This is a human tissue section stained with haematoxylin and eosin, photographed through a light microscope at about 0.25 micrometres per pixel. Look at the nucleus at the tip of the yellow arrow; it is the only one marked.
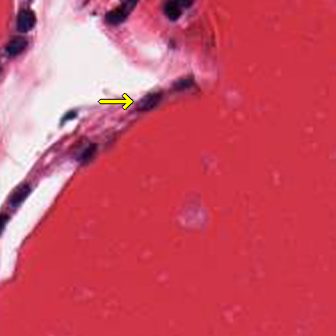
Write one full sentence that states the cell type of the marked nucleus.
The cell bearing the marked nucleus is a thyroid follicular cell.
